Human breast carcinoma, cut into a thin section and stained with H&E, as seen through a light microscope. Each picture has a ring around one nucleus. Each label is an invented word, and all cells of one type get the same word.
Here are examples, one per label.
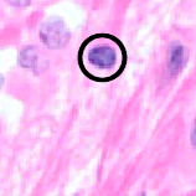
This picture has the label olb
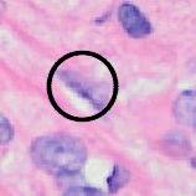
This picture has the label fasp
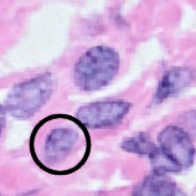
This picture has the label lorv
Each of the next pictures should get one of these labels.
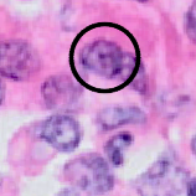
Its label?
lorv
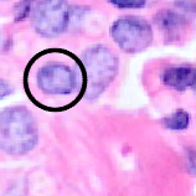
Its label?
lorv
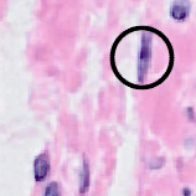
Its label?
fasp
